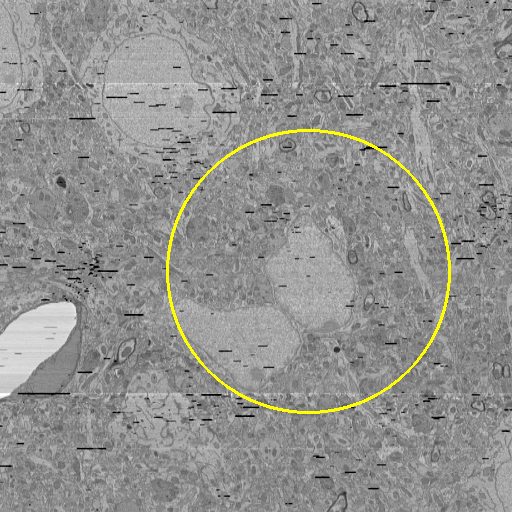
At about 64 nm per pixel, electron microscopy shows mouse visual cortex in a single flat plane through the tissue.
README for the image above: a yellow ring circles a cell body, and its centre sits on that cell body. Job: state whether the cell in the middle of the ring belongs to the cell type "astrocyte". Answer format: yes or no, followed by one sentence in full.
Yes, the cell sitting in the middle of the ring in the image belongs to that type.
